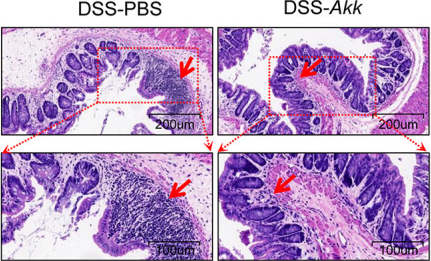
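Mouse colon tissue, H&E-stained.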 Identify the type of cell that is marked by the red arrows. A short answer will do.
Inflammatory cells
